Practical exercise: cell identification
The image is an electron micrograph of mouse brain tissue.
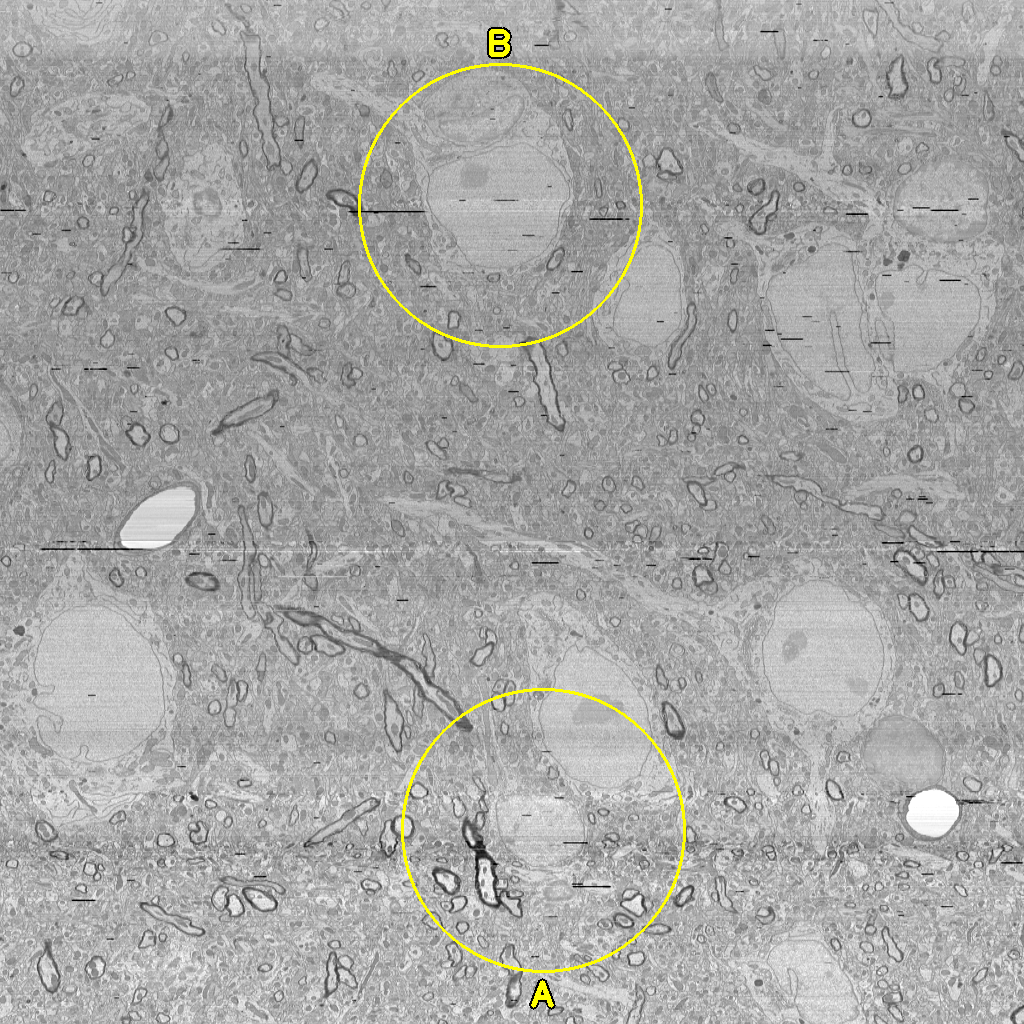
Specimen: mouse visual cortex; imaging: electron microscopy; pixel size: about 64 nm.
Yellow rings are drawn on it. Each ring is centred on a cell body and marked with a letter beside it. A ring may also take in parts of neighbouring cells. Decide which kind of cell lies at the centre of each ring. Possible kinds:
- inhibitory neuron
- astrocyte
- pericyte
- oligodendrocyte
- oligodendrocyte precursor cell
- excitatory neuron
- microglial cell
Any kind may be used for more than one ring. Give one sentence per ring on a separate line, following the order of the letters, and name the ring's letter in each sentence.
The cell in the middle of ring A is an astrocyte.
The cell in the middle of ring B is an excitatory neuron.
